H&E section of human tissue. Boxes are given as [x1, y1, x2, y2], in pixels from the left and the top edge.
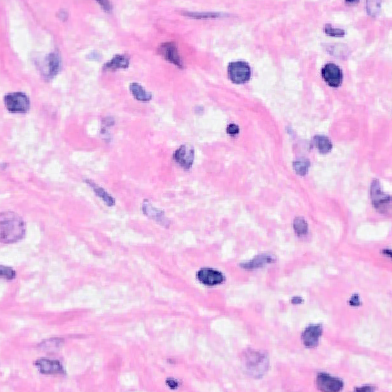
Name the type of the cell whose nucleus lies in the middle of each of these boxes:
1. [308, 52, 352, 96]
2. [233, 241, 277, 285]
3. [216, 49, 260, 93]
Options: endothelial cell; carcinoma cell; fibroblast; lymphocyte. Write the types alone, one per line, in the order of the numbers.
lymphocyte
fibroblast
lymphocyte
